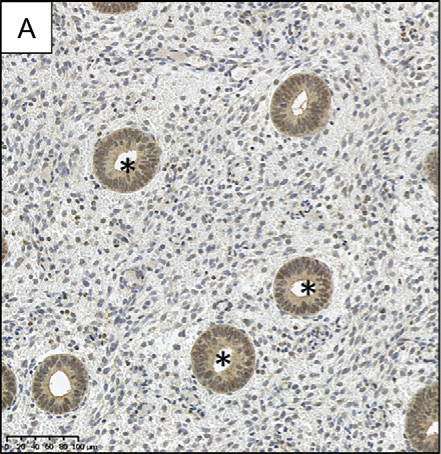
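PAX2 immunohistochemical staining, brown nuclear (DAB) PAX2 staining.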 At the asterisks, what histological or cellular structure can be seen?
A: glands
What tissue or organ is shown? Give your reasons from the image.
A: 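Round, evenly spaced tubular glands lined by columnar epithelium. Abundant densely cellular stroma of small oval and spindle nuclei between the glands. Glands are small and straight, not coiled or secretory.
Answer: proliferative endometrium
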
